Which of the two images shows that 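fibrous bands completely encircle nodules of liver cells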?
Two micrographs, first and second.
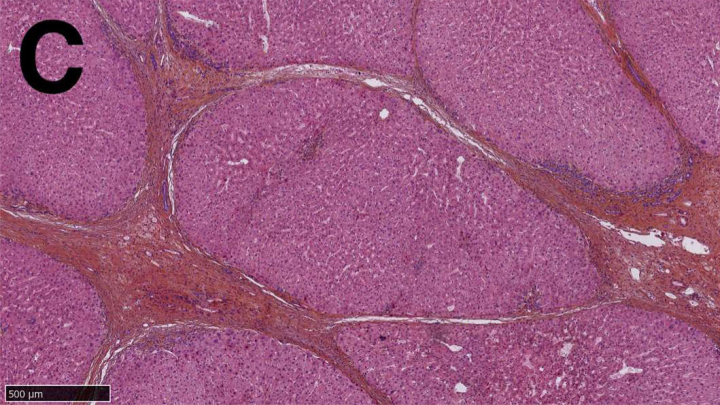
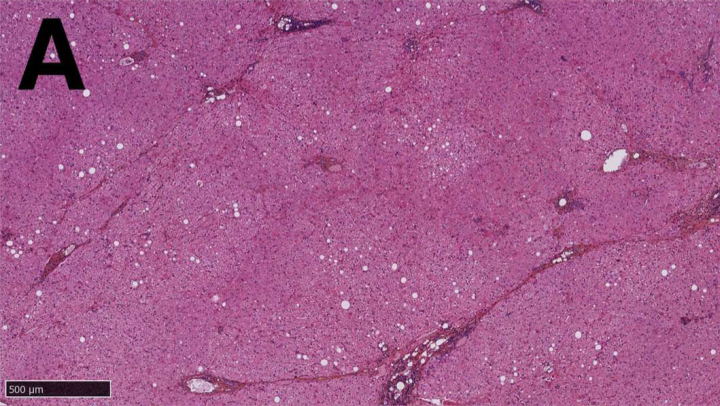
The first image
